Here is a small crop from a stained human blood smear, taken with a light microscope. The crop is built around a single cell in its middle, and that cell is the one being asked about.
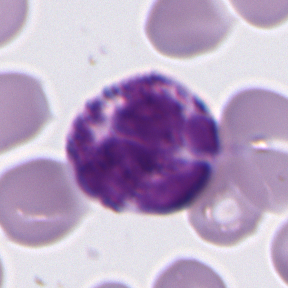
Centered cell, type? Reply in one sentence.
Of the cells in this crop, the central one is a basophil.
